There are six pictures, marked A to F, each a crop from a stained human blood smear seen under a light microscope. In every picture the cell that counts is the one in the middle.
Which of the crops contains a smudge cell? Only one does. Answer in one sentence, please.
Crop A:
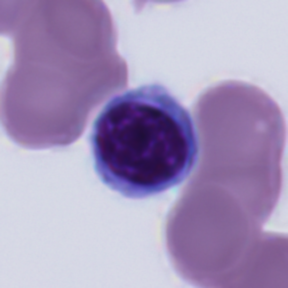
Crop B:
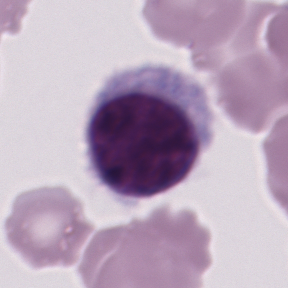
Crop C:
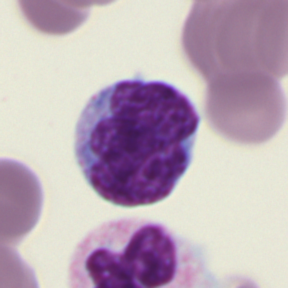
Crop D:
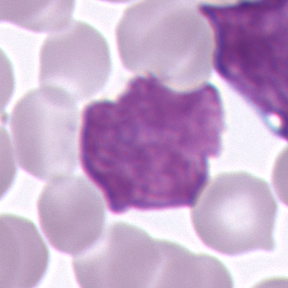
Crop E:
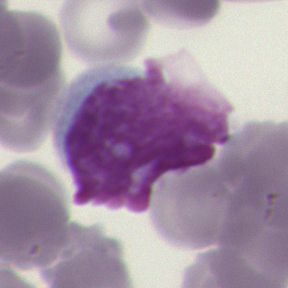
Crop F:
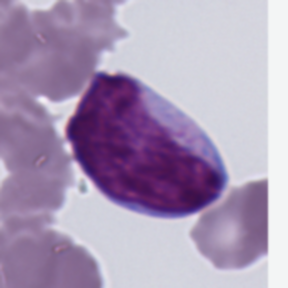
Crop D is the crop featuring a smudge cell at its center.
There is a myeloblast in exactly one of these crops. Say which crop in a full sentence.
The crop marked F is the one in which a myeloblast is shown.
